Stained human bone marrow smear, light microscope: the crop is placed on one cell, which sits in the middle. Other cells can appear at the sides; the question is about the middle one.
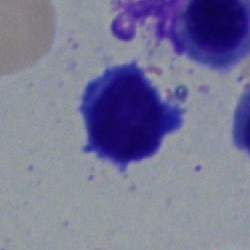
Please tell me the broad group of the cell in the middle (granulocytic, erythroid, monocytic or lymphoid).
lymphoid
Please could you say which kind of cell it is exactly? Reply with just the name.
lymphocyte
